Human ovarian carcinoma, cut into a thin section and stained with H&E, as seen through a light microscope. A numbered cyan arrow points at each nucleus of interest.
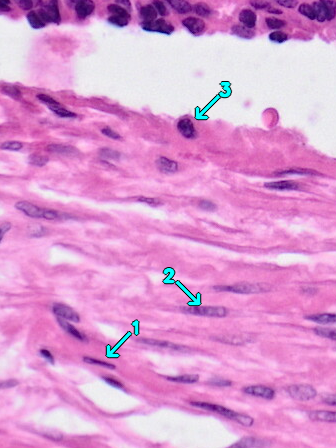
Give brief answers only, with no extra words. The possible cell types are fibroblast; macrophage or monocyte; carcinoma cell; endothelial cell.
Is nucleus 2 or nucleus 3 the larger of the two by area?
2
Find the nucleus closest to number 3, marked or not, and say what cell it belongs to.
fibroblast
